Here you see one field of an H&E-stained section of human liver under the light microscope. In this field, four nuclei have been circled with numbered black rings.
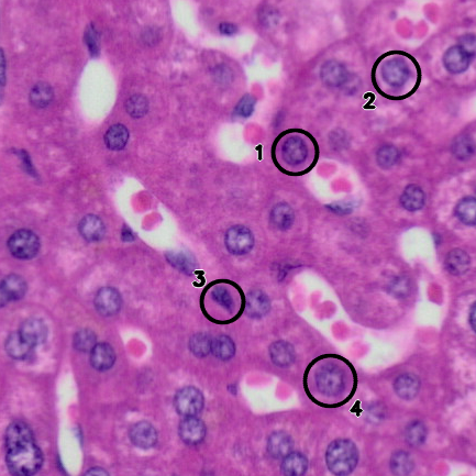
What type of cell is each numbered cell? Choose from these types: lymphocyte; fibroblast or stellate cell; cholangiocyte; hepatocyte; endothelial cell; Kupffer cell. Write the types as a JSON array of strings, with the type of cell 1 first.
["hepatocyte", "hepatocyte", "fibroblast or stellate cell", "hepatocyte"]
